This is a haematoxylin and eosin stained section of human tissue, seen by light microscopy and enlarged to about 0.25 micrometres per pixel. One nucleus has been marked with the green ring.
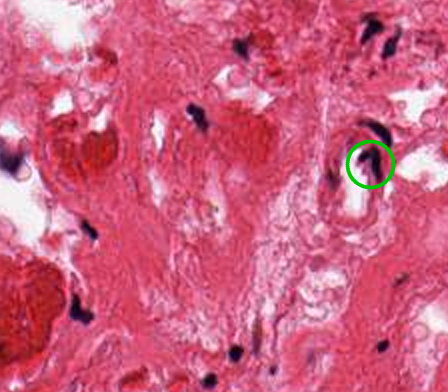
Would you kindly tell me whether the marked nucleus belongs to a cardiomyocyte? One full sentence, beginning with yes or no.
No, instead of being part of a cardiomyocyte, the marked nucleus is part of a supporting cell.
